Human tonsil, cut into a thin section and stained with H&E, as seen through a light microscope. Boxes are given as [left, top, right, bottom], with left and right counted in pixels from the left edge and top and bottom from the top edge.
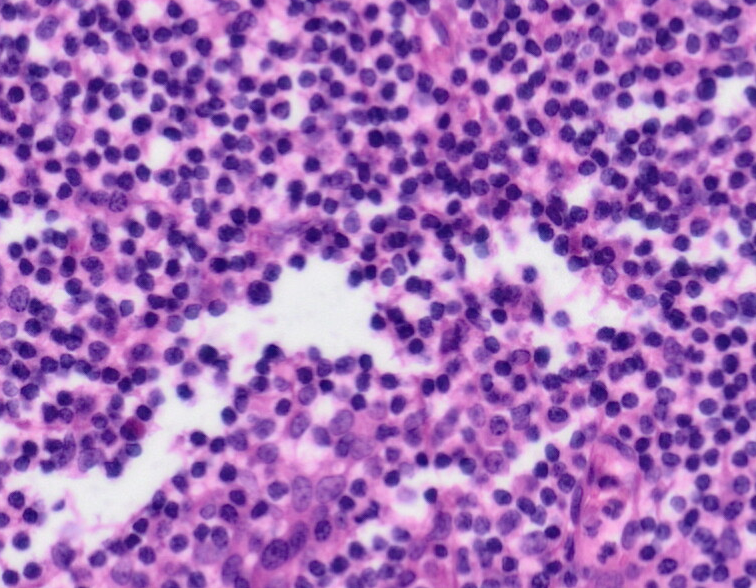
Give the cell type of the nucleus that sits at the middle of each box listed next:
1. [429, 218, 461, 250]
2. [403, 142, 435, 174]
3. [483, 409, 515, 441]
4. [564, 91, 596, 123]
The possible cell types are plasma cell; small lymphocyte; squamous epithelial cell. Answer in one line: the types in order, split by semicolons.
small lymphocyte; small lymphocyte; plasma cell; small lymphocyte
